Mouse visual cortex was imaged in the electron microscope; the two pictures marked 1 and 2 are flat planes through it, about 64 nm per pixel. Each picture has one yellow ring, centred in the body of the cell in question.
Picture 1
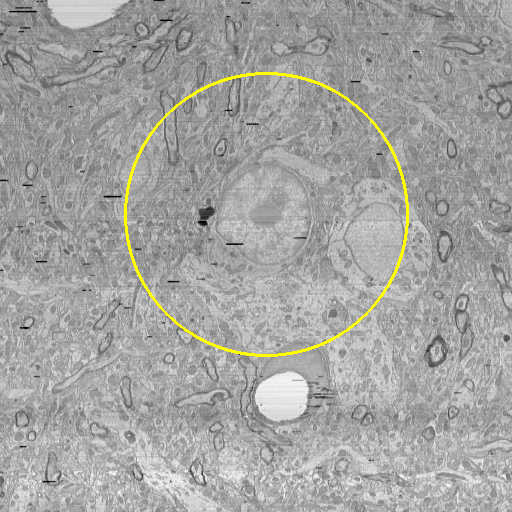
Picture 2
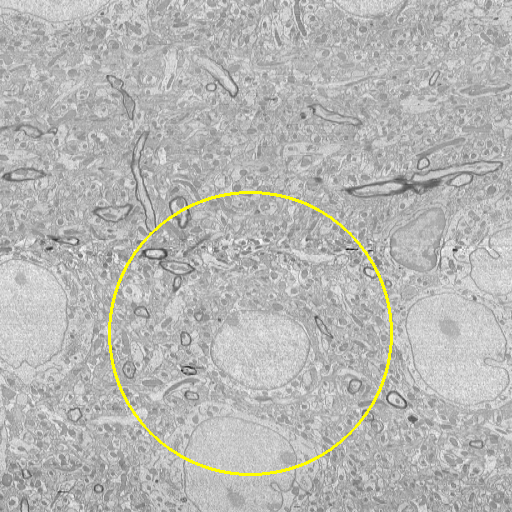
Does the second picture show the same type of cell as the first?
No; the cell in picture 1 is an oligodendrocyte, while the one in picture 2 is an astrocyte.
